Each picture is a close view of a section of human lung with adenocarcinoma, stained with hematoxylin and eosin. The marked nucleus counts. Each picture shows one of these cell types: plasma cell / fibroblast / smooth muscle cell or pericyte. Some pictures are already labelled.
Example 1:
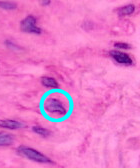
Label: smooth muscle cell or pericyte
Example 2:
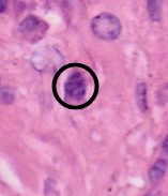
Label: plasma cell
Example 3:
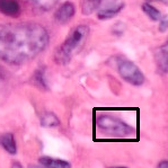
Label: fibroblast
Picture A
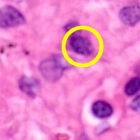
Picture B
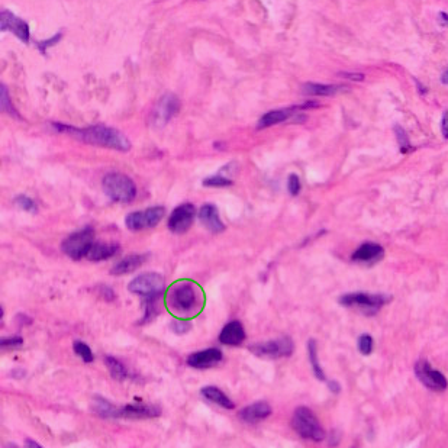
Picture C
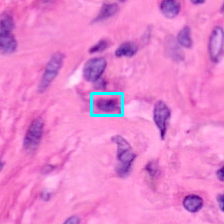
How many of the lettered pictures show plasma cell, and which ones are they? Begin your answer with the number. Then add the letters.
Count: 3 (A, B, C)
